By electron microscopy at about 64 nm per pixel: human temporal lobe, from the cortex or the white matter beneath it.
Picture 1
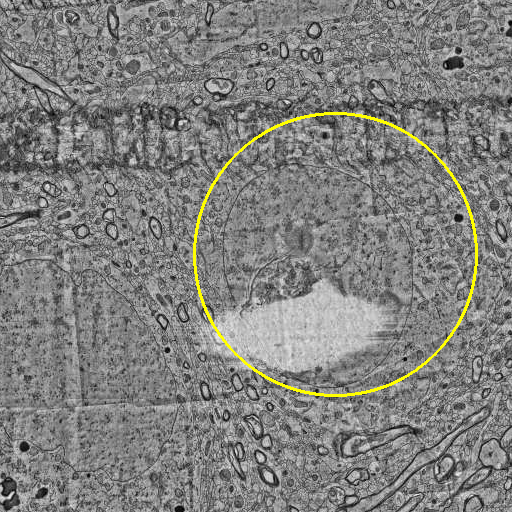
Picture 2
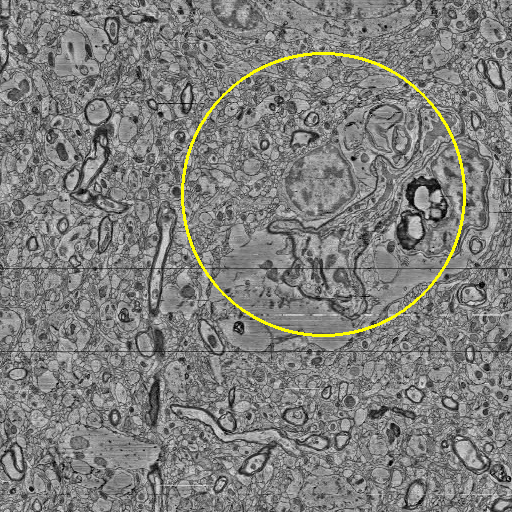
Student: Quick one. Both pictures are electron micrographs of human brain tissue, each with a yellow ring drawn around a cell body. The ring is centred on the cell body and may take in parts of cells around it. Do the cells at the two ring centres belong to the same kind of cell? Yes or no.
no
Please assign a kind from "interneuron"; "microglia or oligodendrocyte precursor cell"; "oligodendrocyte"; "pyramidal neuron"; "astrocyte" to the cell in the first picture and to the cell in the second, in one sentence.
In the first picture we have a pyramidal neuron, and in the second, an oligodendrocyte.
